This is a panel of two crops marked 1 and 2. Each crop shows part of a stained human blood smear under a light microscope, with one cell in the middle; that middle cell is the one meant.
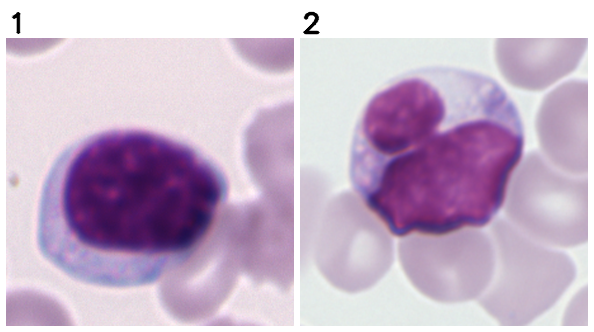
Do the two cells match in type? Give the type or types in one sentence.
Yes, large granular lymphocytes occupy the centre of both crops.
